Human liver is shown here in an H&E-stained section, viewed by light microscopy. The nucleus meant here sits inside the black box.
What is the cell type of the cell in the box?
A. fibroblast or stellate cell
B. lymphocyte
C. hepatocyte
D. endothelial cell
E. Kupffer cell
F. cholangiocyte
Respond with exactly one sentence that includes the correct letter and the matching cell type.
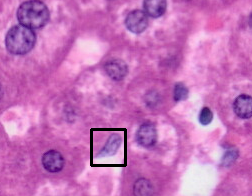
Option D, which has the cell in the box as an endothelial cell, is the correct choice.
